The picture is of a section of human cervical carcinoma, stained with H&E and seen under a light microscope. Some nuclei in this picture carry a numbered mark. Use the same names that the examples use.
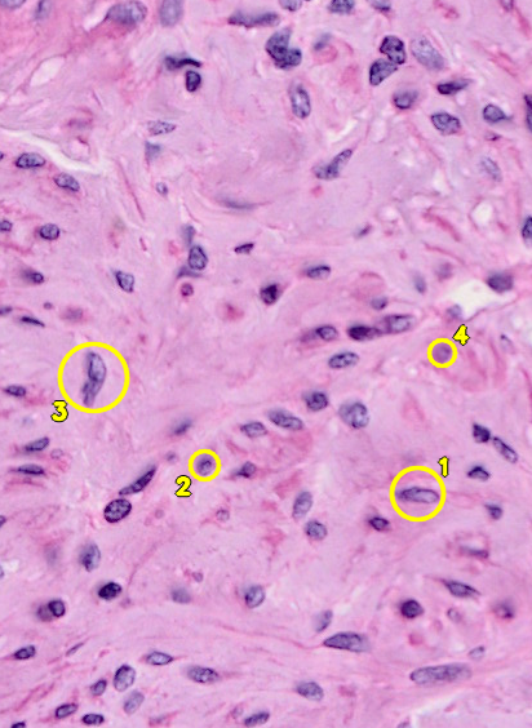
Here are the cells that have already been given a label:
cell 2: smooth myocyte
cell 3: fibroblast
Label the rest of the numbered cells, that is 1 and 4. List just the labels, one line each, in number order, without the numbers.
smooth myocyte
smooth myocyte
